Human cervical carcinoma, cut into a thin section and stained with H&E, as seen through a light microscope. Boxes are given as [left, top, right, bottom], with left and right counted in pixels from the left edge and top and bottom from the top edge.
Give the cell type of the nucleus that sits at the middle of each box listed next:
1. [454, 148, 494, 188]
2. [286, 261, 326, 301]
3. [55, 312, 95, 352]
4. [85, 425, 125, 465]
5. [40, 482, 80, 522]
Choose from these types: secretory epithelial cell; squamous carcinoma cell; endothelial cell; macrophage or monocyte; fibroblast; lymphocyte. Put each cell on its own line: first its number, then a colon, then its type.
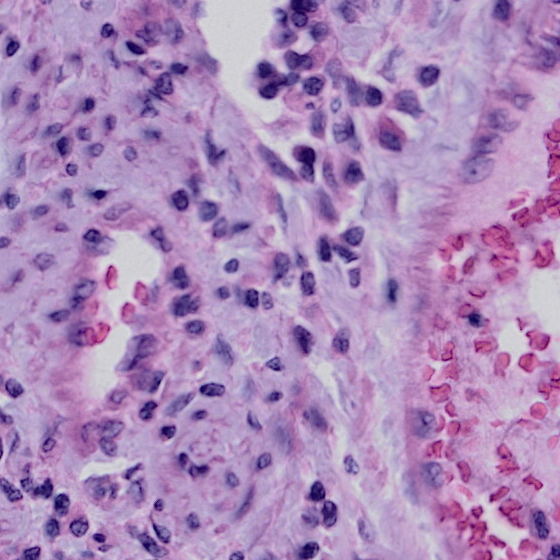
1: endothelial cell
2: lymphocyte
3: endothelial cell
4: endothelial cell
5: lymphocyte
